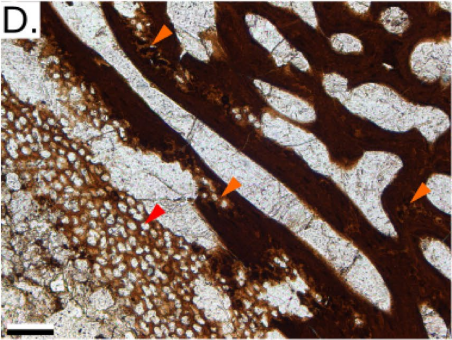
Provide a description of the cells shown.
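Dark brown bony trabeculae run diagonally across the field, separated by elongate clear spaces with pale crystalline infill. Where trabeculae meet the cartilage, dark bone encloses small pale islands, as in endochondral ossification.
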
